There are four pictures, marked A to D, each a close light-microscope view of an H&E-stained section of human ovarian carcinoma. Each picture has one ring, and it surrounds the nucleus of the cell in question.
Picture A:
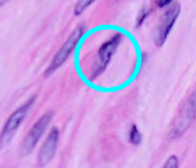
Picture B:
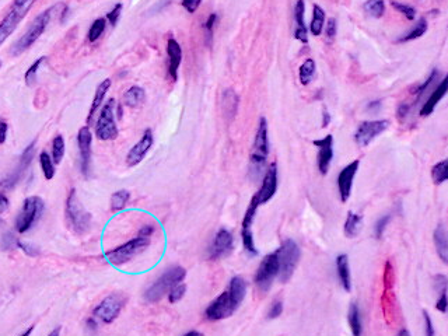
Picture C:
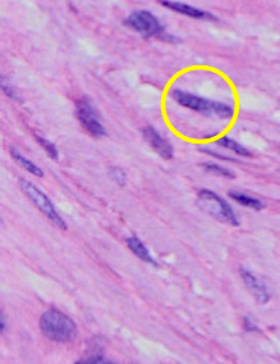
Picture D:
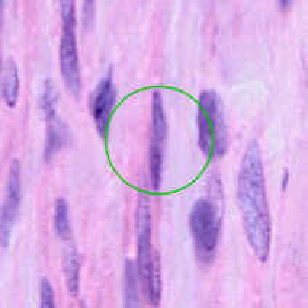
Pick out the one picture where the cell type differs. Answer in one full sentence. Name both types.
Picture C is the odd one out: it shows a fibroblast, while the others show smooth muscle cells.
